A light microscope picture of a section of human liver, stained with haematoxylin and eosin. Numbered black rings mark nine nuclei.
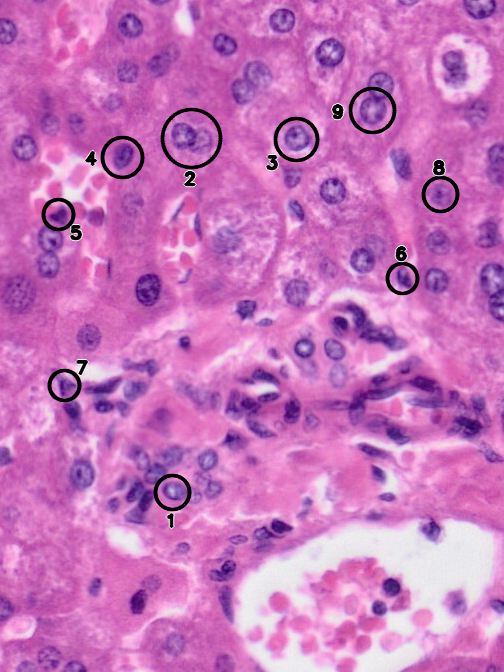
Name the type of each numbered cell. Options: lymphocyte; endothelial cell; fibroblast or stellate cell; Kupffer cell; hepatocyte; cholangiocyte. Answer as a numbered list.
1. cholangiocyte
2. hepatocyte
3. hepatocyte
4. fibroblast or stellate cell
5. fibroblast or stellate cell
6. fibroblast or stellate cell
7. fibroblast or stellate cell
8. hepatocyte
9. hepatocyte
